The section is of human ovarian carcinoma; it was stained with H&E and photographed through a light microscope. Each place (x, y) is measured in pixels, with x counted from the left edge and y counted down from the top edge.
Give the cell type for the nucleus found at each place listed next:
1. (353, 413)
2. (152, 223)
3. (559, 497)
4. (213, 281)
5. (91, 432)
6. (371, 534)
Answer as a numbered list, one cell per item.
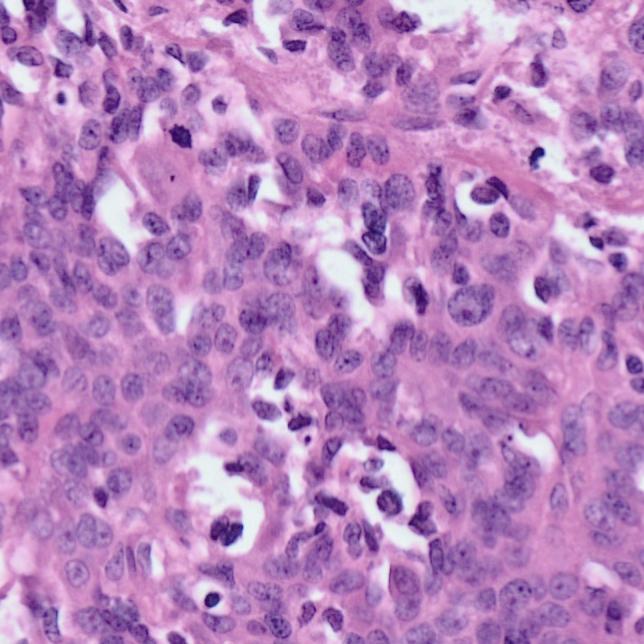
1. carcinoma cell
2. macrophage or monocyte
3. endothelial cell
4. carcinoma cell
5. carcinoma cell
6. carcinoma cell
